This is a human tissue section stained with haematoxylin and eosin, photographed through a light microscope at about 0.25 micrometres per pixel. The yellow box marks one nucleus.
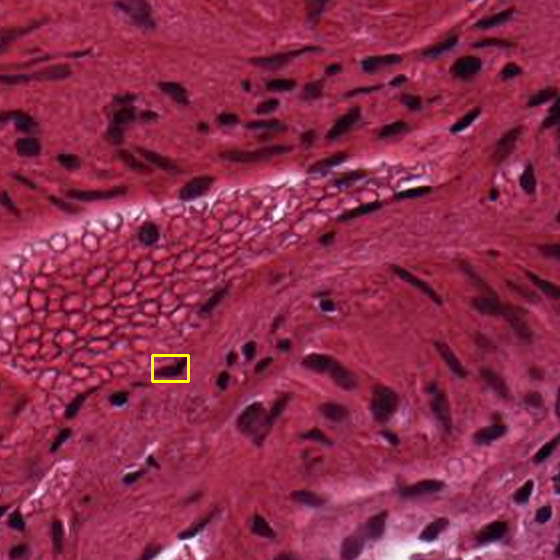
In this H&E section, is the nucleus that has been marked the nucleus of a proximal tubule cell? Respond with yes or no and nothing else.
no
